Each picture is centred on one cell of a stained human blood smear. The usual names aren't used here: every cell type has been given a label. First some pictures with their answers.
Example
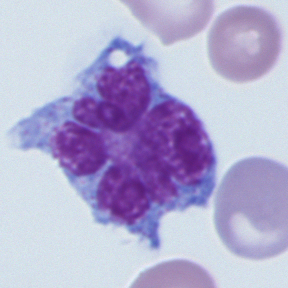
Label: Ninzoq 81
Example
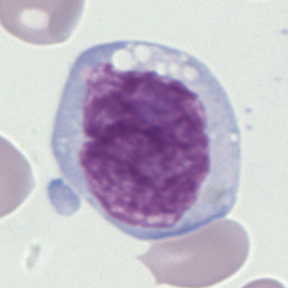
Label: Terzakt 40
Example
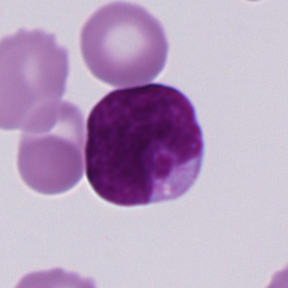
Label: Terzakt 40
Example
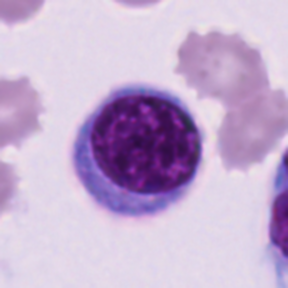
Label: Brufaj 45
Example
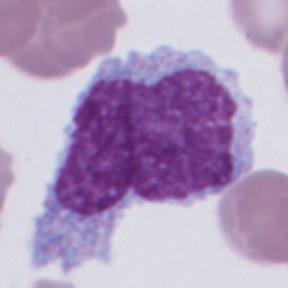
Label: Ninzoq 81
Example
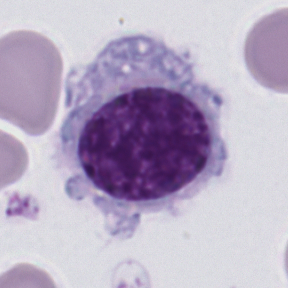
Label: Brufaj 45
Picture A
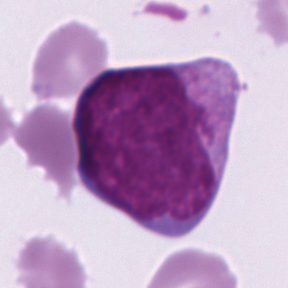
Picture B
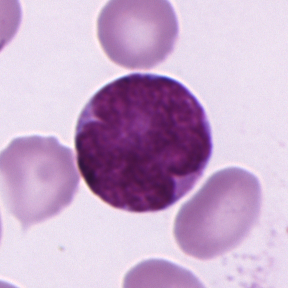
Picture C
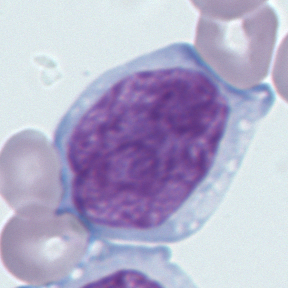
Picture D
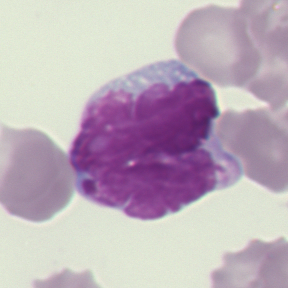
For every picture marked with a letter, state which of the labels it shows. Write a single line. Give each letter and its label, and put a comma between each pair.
A Terzakt 40, B Terzakt 40, C Terzakt 40, D Terzakt 40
